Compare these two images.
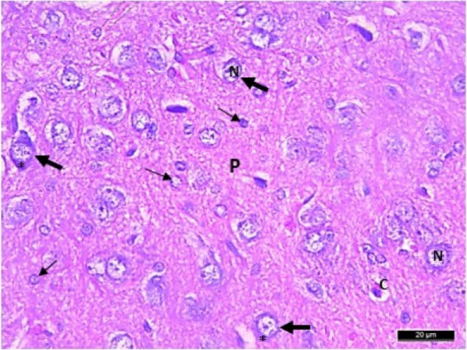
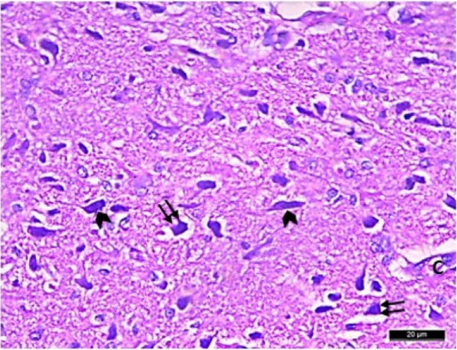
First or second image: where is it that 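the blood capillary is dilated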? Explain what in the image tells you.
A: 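The second image. First image: the vessel marked C is a small narrow lumen. Second image: the vessel marked C is a wide open channel.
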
